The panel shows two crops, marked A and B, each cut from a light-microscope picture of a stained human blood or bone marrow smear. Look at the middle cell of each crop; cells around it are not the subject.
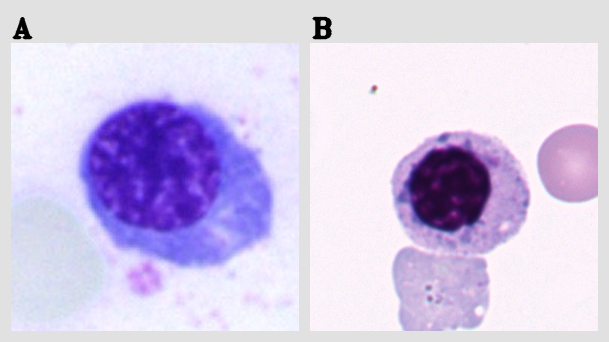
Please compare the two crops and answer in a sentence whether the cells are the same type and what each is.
Yes, the central cells, in both crops, are erythroblasts.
